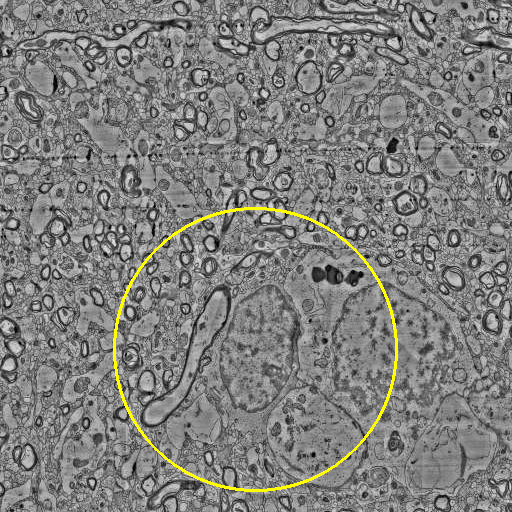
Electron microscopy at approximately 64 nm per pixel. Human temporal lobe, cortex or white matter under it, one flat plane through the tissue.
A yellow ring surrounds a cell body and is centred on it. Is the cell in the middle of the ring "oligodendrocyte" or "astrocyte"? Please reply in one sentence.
The ring is centred on an oligodendrocyte.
